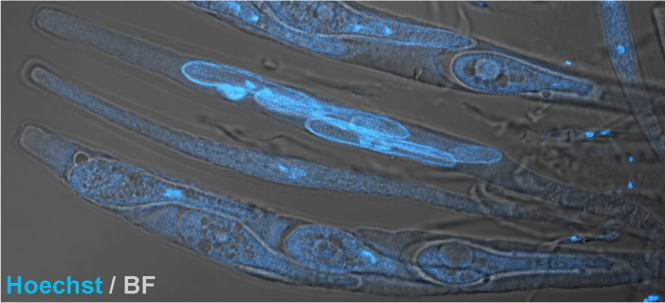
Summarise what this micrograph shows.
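Several elongated, tube-shaped asci lie side by side, with rounded tips toward the left. Some contain oval ascospores arranged in a single row along the sac; these have granular, vacuolated cytoplasm and faint blue content. One ascus in the middle holds spores with bright blue rims and interior, standing out from the rest. Other asci show no spores and have evenly granular cytoplasm with diffuse faint blue. Small bright blue specks lie outside the asci on the right.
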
